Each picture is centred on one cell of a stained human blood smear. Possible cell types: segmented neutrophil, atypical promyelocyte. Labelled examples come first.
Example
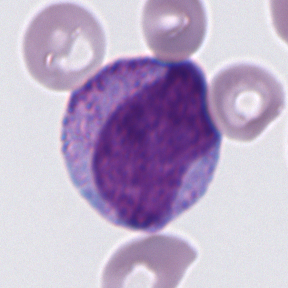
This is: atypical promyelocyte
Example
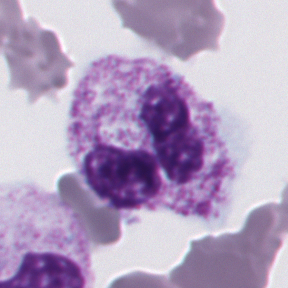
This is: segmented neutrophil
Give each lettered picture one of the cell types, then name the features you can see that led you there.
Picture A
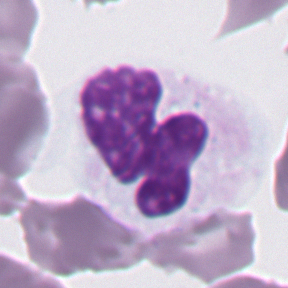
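segmented neutrophil. Reason: The cytoplasm is plentiful and very pale, with only a faint pinkish tint.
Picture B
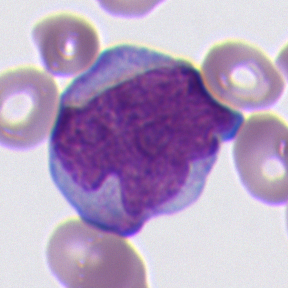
atypical promyelocyte. Reason: The nucleus fills most of the cell.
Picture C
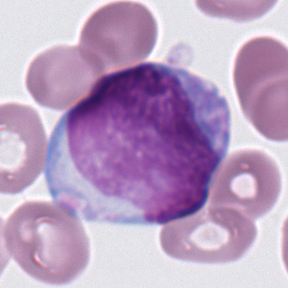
atypical promyelocyte. Reason: The nucleus fills most of the cell.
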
